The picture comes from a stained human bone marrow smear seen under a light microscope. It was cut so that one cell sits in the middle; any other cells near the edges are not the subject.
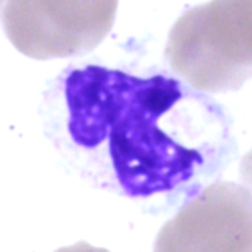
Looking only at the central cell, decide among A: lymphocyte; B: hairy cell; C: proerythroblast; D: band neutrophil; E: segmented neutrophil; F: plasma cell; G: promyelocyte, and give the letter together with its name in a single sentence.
The middle cell of the crop is a segmented neutrophil; accordingly, option E is correct.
